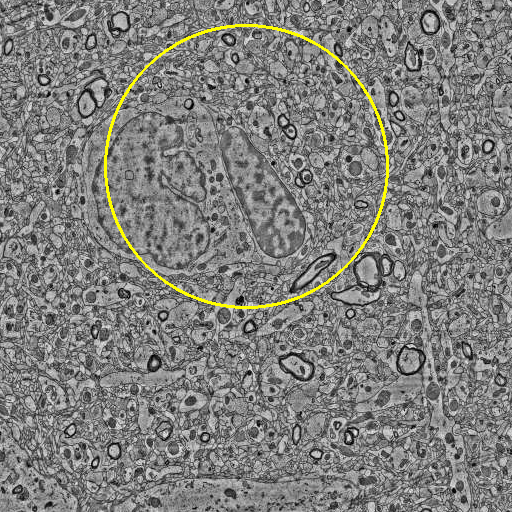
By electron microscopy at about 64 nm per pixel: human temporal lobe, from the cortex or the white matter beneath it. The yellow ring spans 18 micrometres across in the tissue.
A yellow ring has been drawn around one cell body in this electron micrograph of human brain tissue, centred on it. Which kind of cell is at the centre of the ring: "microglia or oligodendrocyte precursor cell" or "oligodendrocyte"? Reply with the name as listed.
microglia or oligodendrocyte precursor cell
